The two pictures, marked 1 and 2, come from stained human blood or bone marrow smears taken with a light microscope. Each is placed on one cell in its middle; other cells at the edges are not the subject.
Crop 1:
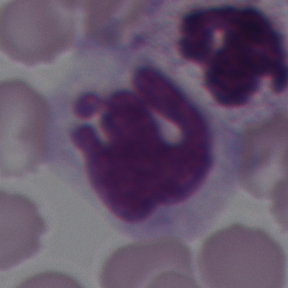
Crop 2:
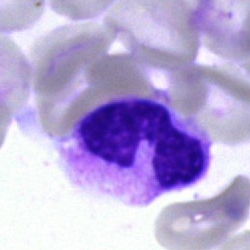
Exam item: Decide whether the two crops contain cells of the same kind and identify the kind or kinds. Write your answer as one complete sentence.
No, crop 1 matches a monocyte and crop 2 matches a band neutrophil.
